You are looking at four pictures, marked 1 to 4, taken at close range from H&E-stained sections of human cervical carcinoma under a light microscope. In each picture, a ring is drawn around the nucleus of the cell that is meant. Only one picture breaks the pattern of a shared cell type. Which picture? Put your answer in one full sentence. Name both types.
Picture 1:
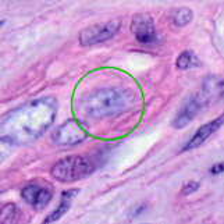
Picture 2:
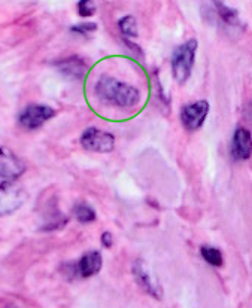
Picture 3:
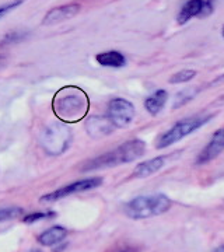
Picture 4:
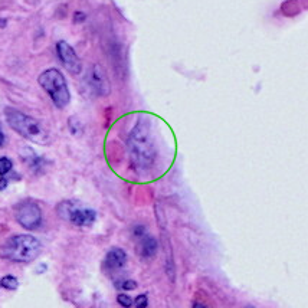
Unlike the rest, which show endothelial cells, picture 2 shows a “macrophage or monocyte”.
